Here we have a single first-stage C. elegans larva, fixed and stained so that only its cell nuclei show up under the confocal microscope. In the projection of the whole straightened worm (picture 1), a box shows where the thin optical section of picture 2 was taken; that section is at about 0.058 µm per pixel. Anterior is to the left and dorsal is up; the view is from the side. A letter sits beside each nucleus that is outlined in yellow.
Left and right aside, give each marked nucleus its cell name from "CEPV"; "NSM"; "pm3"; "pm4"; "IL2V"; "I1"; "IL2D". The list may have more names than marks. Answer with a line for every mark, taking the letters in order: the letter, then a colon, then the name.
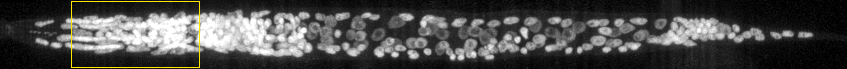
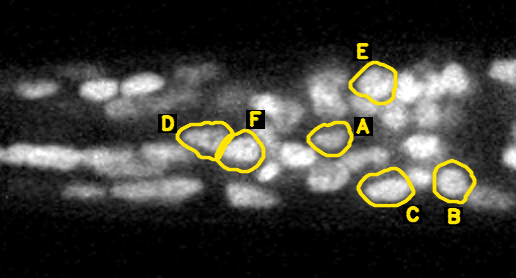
A: pm4
B: CEPV
C: IL2V
D: pm3
E: IL2D
F: I1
